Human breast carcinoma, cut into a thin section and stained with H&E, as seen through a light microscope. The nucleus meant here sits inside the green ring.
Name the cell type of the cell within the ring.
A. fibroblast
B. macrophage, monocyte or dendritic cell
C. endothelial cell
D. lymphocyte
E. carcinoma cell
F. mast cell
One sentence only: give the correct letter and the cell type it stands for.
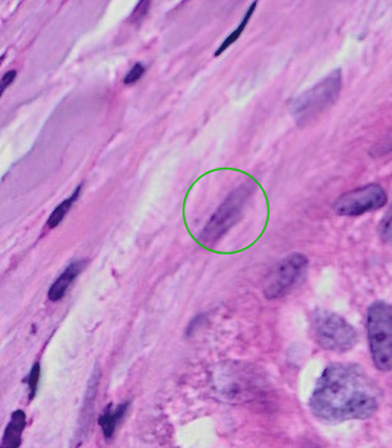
Option A correctly identifies the cell within the ring as a fibroblast.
